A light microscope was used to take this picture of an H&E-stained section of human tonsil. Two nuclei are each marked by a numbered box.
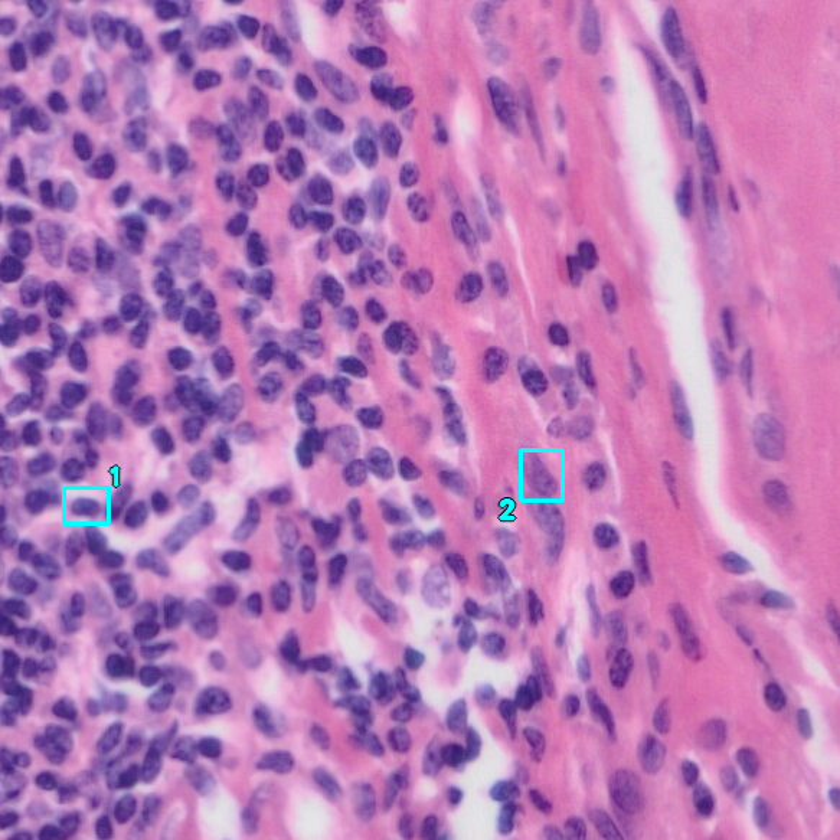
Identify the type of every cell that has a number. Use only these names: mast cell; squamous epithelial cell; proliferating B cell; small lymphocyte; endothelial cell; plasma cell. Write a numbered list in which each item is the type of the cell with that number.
1. small lymphocyte
2. endothelial cell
